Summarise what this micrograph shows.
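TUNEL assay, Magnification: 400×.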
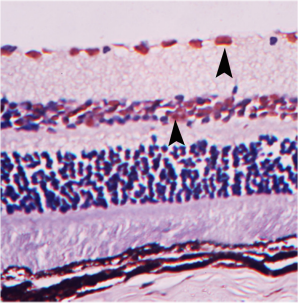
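The retina is shown in cross-section with a single row of flattened nuclei at the inner edge, a broad pale fibrous layer, a band of several rows of nuclei, a thin pale layer and a thick band of densely packed blue nuclei. Many nuclei in the innermost row are stained red-brown, and red-brown nuclei are also scattered among blue nuclei in the middle band. The thick outer band of nuclei is stained blue throughout. A dark, strongly stained band runs along the outer edge of the section.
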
